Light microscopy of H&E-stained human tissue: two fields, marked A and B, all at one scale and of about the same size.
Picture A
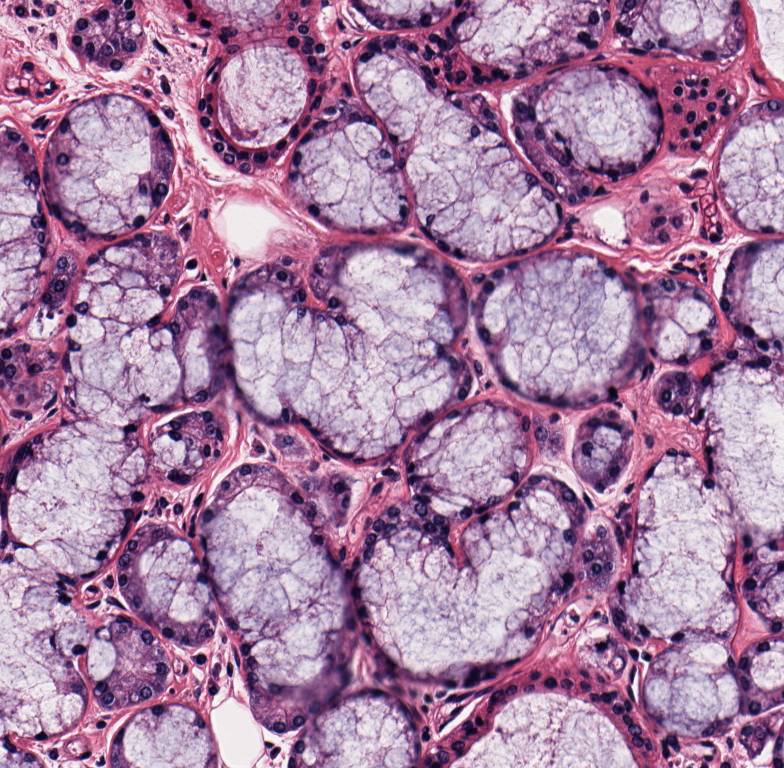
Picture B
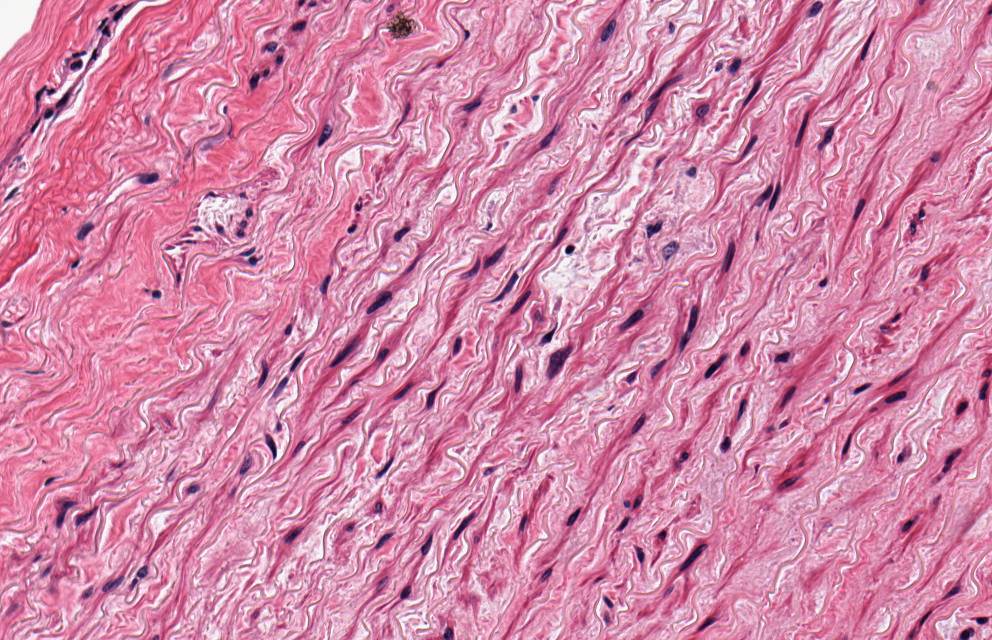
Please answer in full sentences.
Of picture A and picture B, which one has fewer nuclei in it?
Picture B holds fewer nuclei than picture A.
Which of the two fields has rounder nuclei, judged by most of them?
It is picture A whose nuclei are the rounder.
